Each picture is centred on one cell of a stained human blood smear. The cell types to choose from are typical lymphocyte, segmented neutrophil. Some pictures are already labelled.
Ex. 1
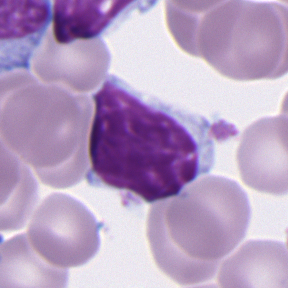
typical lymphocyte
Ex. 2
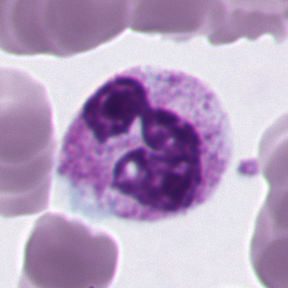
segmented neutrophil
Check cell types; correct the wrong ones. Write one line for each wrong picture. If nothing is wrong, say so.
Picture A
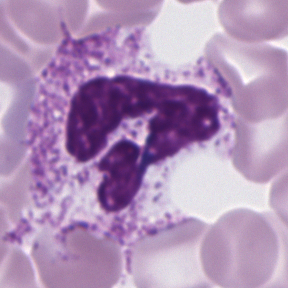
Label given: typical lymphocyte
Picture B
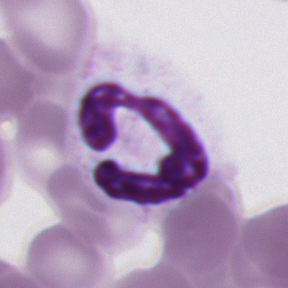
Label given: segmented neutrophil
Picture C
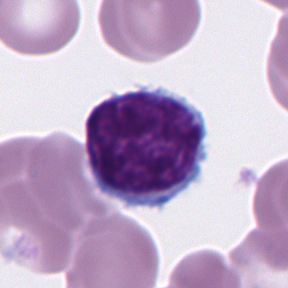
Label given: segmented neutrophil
A should be segmented neutrophil, not typical lymphocyte
C should be typical lymphocyte, not segmented neutrophil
